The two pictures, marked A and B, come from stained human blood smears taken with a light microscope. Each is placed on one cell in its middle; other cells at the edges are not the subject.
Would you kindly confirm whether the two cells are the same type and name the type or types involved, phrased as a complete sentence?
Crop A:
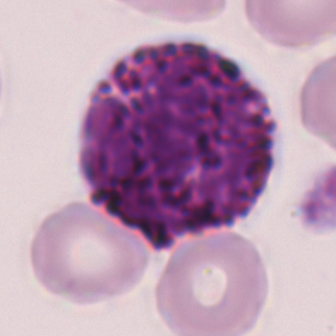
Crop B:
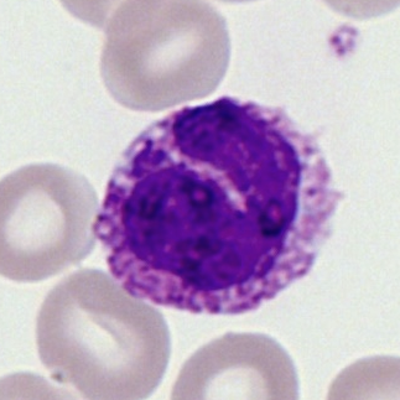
Yes, both crops show basophils, one in each.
